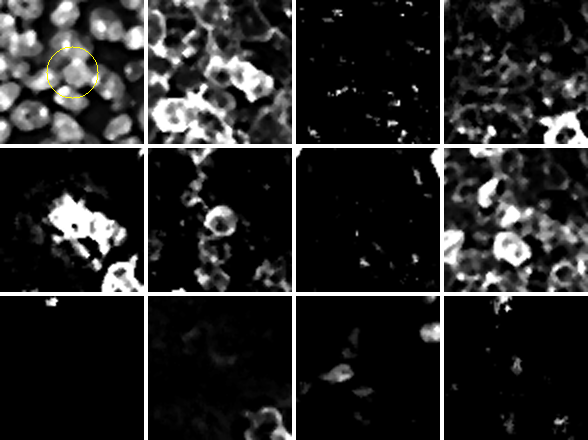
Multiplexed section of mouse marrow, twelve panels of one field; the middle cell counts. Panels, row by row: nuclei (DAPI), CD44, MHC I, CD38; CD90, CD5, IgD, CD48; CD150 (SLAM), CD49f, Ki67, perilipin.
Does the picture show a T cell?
Yes.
